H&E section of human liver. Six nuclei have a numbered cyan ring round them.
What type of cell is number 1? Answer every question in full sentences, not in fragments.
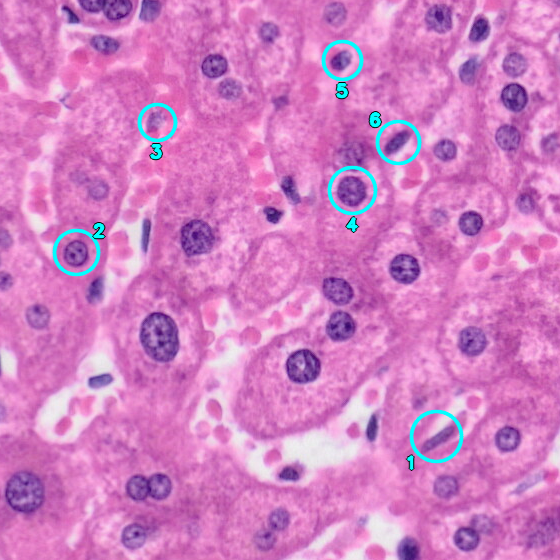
Denoted by the label 1 in the section is a Kupffer cell.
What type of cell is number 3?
Heads up, the cell numbered 3 is an endothelial cell.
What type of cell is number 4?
The marked cell with the number 4 is recognised as a hepatocyte.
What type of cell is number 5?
Cell 5, as marked in the section, is a lymphocyte.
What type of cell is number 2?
The cell bearing label 2 corresponds to a hepatocyte.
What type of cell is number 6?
Recognised here as a fibroblast or stellate cell is the cell numbered 6.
